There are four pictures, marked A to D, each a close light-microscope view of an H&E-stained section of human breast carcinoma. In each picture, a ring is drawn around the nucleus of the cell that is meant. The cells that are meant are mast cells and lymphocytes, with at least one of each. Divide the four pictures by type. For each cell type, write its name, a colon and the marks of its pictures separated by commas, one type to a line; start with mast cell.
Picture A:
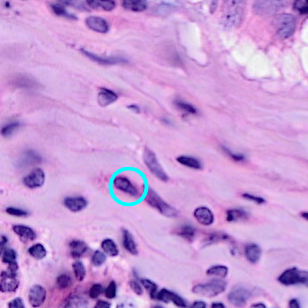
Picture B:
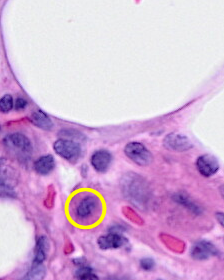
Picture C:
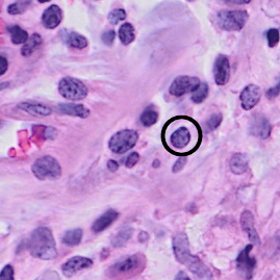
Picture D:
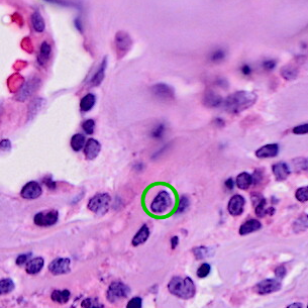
mast cell: A, B
lymphocyte: C, D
